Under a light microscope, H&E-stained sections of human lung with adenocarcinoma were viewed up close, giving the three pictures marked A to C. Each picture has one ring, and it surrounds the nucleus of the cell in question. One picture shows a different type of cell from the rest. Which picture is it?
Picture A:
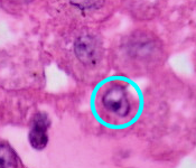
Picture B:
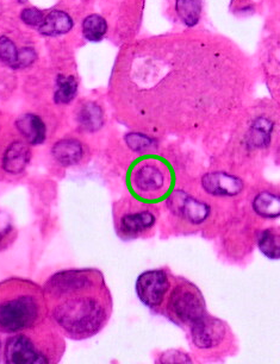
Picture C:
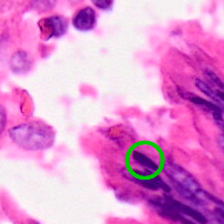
C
